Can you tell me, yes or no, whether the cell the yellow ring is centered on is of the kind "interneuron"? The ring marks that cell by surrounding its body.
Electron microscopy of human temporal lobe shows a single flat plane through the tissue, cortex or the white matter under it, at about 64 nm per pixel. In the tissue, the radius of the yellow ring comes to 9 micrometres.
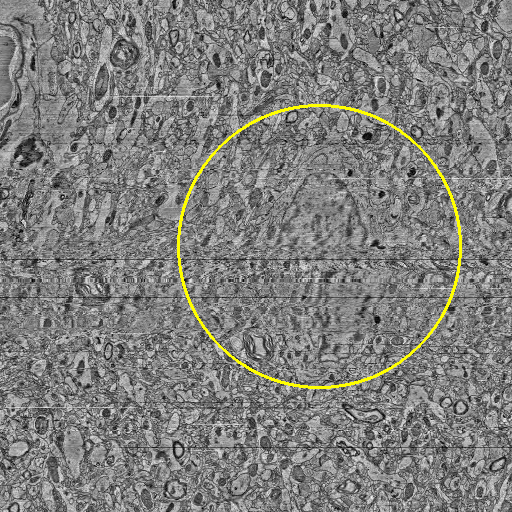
yes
